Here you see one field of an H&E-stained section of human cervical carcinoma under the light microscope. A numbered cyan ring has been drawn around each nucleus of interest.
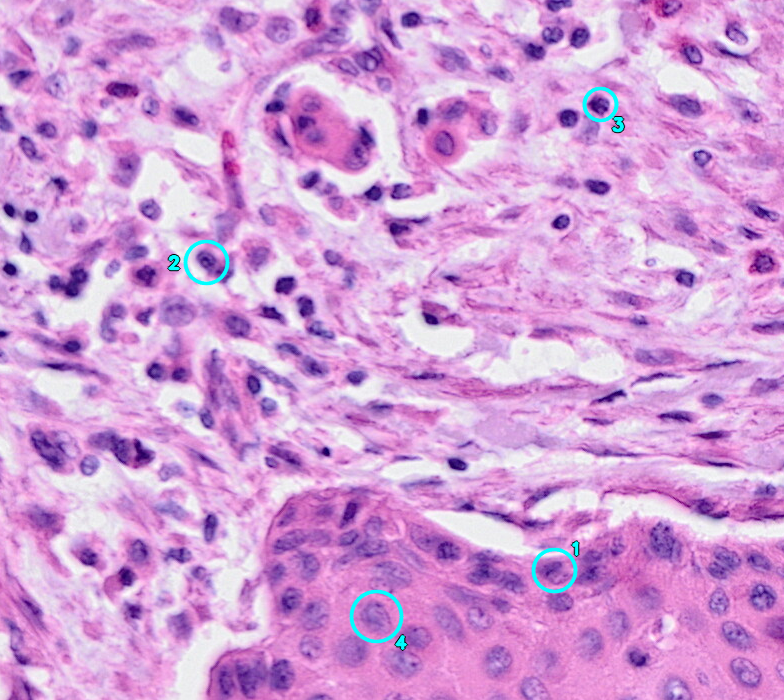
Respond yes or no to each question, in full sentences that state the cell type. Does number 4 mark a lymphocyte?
No, cell 4 does not represent a lymphocyte; it represents a squamous carcinoma cell.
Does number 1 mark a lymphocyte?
No, cell 1 is classified as a squamous carcinoma cell rather than a lymphocyte.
